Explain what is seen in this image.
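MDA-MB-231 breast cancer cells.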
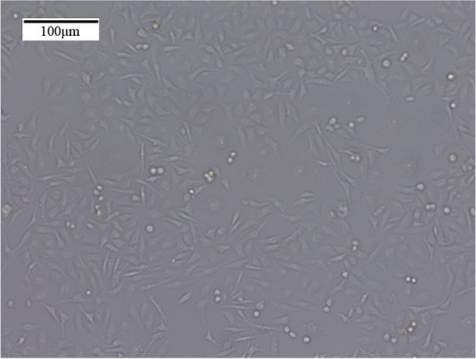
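The cells are pale and thin, many of them elongated or spindle-shaped, others polygonal with short pointed extensions, lying loosely side by side with small gaps between them. Scattered over the layer are a few bright, small, round cells that stand out from the flat ones, likely rounded or detaching cells. There are no clumps or piled-up clusters; the arrangement is a fairly even, single-layered sheet.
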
